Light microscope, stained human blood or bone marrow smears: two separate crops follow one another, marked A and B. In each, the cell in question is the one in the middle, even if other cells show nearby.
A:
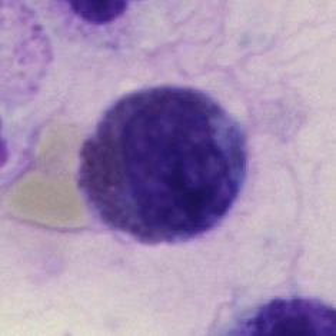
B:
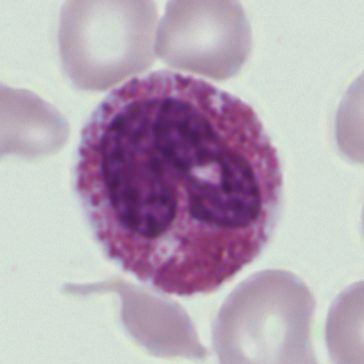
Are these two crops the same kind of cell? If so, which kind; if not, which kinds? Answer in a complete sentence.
Yes, as for both crops, the cells shown are eosinophils.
